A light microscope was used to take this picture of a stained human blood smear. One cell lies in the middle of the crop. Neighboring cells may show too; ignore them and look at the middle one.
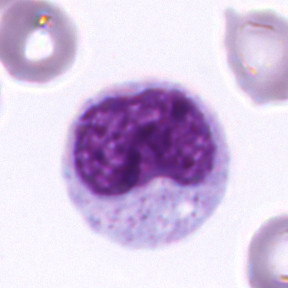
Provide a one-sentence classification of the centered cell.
The cell under consideration, at the middle of the crop, is a metamyelocyte.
